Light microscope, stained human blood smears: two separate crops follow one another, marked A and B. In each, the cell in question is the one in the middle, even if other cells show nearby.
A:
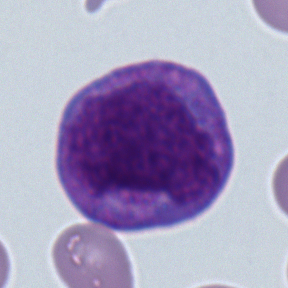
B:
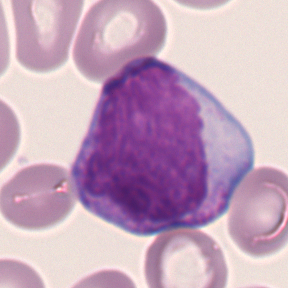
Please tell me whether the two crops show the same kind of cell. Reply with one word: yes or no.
yes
